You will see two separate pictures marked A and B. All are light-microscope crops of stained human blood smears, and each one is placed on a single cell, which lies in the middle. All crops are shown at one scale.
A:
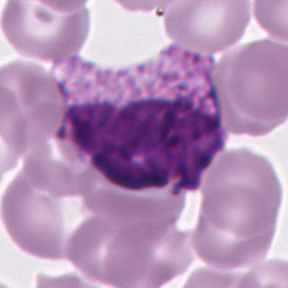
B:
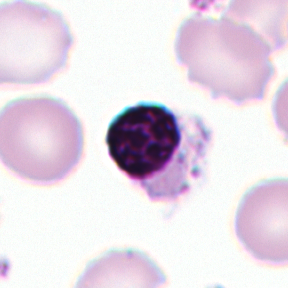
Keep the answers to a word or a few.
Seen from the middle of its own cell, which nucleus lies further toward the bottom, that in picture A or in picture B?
A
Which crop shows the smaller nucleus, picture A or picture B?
B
